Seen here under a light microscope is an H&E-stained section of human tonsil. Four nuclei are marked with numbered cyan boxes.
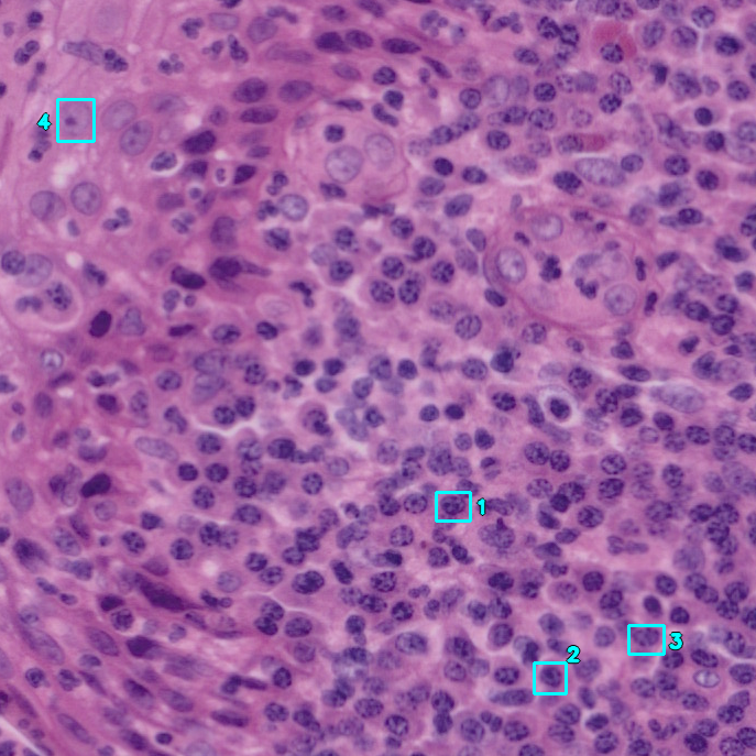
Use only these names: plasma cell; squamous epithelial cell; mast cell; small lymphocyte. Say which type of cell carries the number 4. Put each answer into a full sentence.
Classified as a squamous epithelial cell is the cell with the number 4.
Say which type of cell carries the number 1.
Cell 1 in the field of view is a plasma cell.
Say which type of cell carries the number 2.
Among the marked nuclei, number 2 belongs to a plasma cell.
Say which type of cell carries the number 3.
The cell marked with the number 3 is a plasma cell.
